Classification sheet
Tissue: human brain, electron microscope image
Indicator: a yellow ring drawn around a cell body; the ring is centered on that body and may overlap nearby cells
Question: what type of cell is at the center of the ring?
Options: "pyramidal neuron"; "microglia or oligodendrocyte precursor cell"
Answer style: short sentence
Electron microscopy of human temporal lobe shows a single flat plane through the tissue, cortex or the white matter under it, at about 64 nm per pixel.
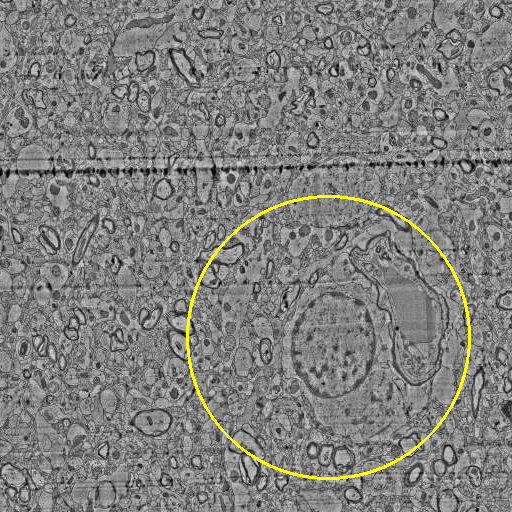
At the ring's center is a microglial cell or oligodendrocyte precursor cell.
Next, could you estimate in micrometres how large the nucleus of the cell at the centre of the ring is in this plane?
In this plane the nucleus spans approximately 7 by 5 micrometers.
